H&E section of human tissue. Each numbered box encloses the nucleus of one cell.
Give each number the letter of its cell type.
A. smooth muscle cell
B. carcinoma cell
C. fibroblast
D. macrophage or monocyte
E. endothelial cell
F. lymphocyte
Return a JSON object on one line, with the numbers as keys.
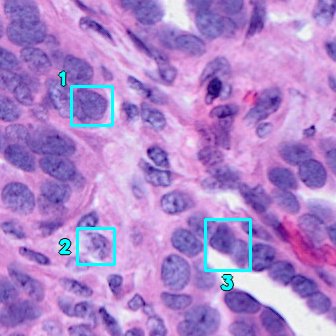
{"1": "B", "2": "C", "3": "B"}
